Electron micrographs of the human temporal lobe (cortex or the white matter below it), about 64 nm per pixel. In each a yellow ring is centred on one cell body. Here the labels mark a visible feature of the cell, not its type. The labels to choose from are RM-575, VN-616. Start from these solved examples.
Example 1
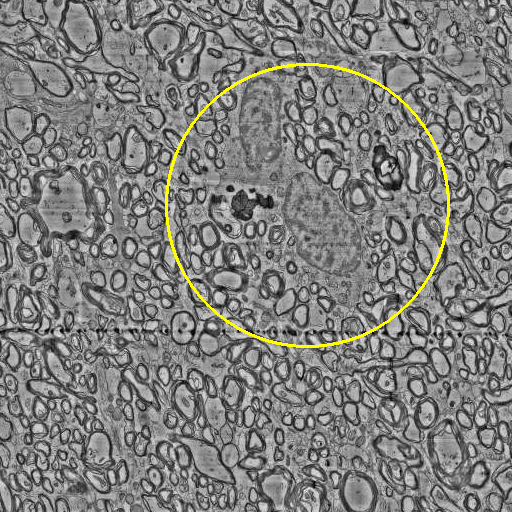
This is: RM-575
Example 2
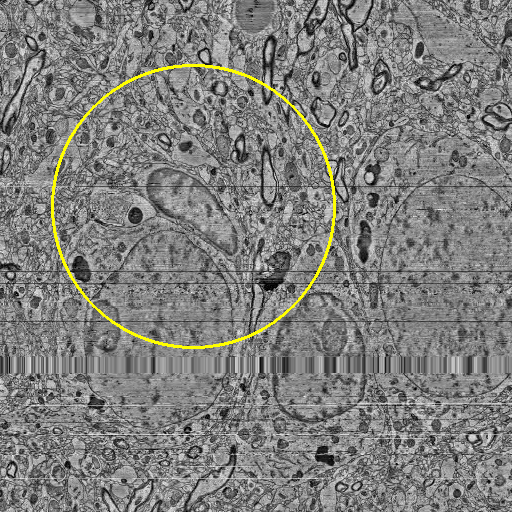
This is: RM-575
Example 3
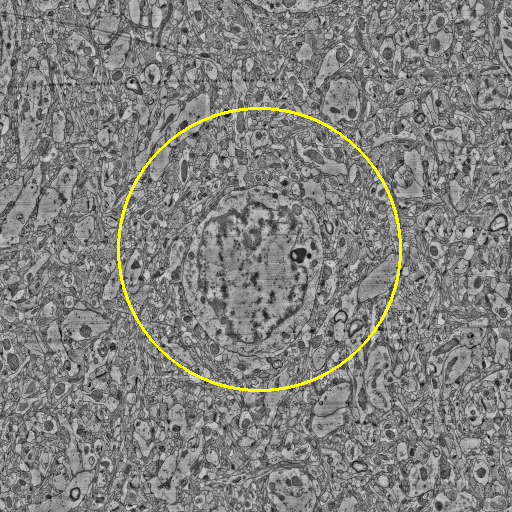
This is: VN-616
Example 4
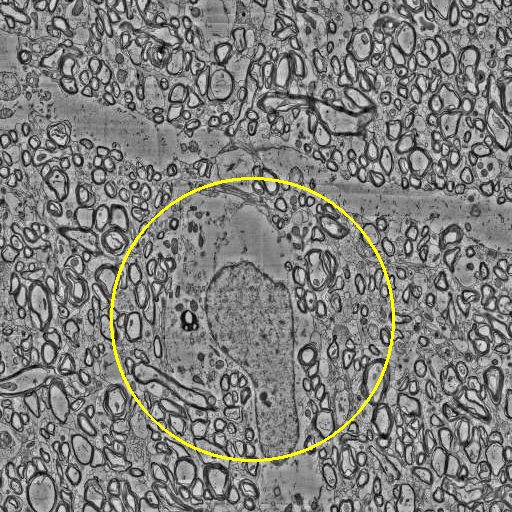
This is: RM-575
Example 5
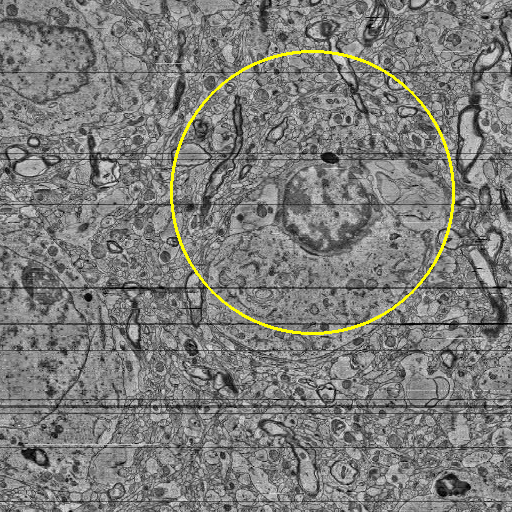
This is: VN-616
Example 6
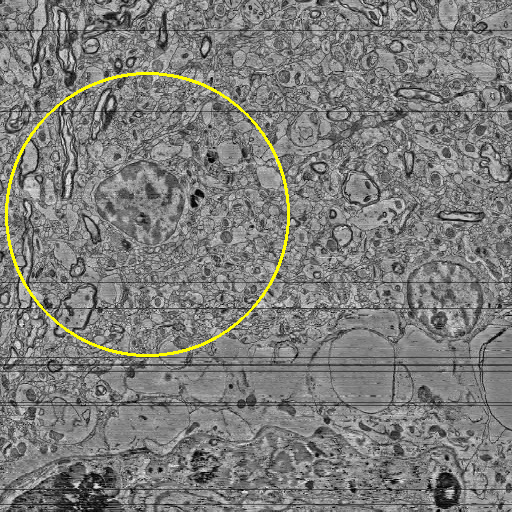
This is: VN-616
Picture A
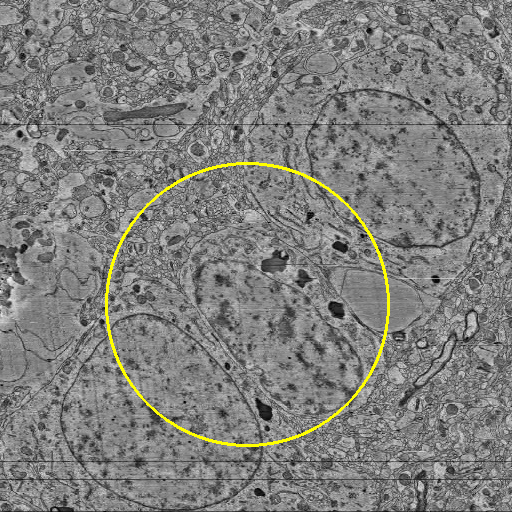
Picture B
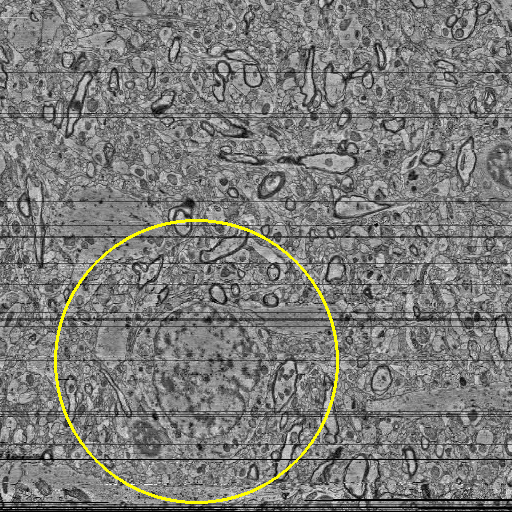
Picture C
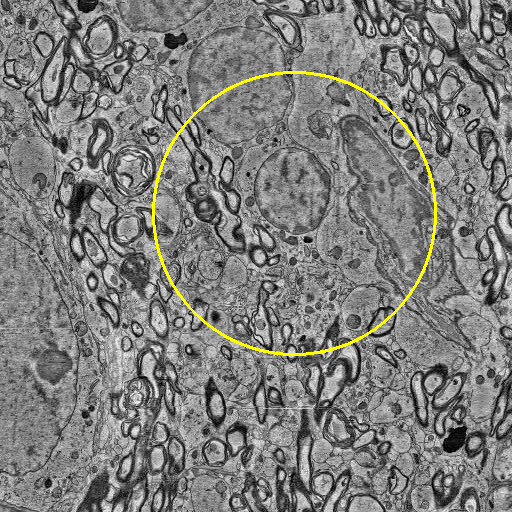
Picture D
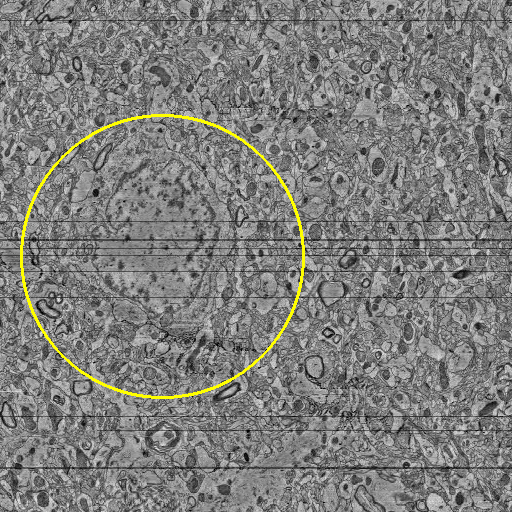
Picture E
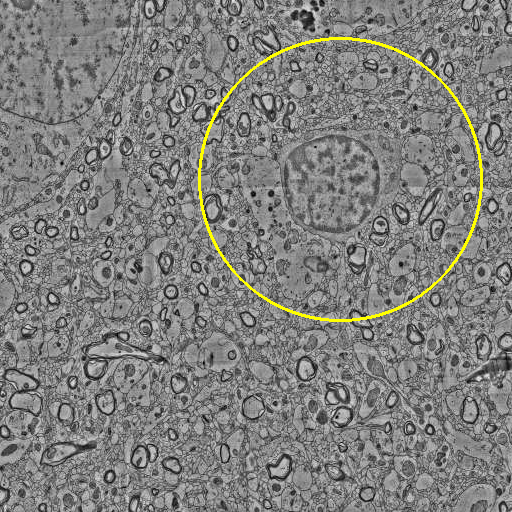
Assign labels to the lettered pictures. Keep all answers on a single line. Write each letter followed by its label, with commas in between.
A RM-575, B VN-616, C VN-616, D VN-616, E VN-616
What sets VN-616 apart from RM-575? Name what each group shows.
In VN-616: round or nearly round nuclei. In RM-575: clearly elongated nuclei.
